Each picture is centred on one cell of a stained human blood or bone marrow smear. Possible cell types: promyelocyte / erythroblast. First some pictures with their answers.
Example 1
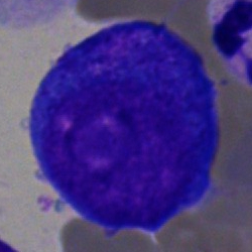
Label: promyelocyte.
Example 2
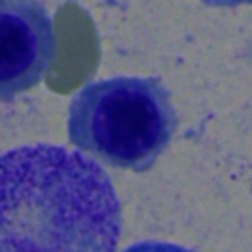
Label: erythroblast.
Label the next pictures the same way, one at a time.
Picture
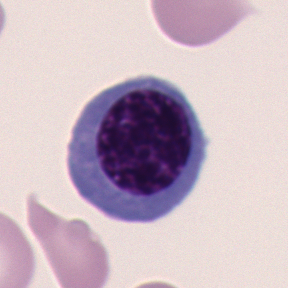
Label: erythroblast.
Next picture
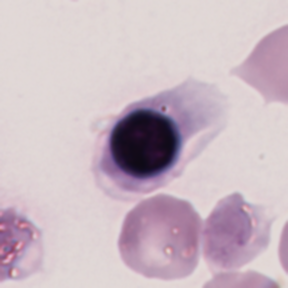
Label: erythroblast.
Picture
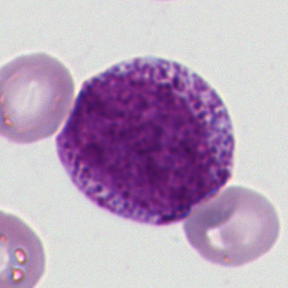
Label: promyelocyte.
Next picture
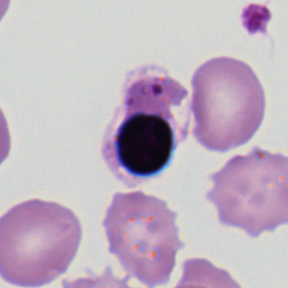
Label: erythroblast.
